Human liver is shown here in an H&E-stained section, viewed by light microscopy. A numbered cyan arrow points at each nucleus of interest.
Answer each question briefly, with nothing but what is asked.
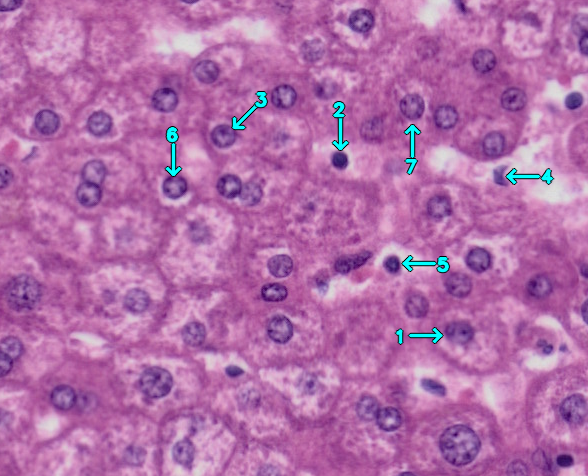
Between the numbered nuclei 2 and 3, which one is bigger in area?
3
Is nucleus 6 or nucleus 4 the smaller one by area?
4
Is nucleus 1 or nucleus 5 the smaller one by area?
5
